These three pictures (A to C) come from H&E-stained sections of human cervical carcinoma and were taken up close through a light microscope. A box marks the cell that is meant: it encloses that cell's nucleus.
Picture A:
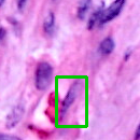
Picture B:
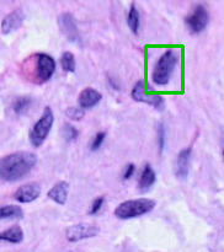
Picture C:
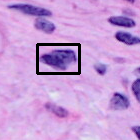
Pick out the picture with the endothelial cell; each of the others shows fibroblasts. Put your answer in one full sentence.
The cell in picture A is the endothelial cell.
